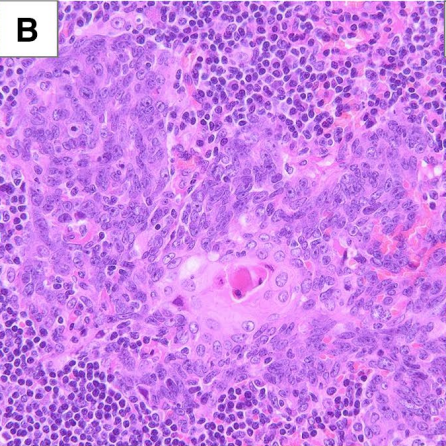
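Nest of polygonal squamous cancer cells bordered by dense small lymphocytes. Tumor cells have oval vesicular nuclei, some with nucleoli, and ample pink cytoplasm, arranged cohesively. In the centre of the nest a concentric whorl of flattened pink cells surrounds a dense bright eosinophilic keratinized core, a structure resembling a thymic corpuscle. Small dark round lymphocytes form a crowded band around the nest, especially at the upper right and lower edges, and some infiltrate between tumor cells.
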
